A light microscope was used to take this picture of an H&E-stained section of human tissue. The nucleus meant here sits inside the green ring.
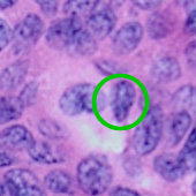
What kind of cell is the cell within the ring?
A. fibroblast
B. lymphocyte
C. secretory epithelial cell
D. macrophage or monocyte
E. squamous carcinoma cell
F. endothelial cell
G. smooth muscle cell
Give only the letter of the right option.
E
